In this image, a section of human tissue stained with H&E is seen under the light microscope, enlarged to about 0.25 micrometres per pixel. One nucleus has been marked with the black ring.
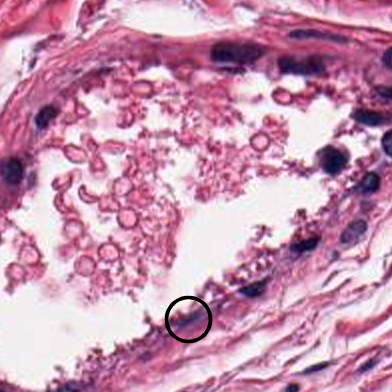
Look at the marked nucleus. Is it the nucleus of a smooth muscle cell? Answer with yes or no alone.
no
